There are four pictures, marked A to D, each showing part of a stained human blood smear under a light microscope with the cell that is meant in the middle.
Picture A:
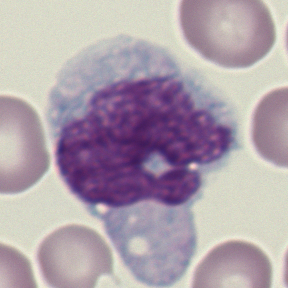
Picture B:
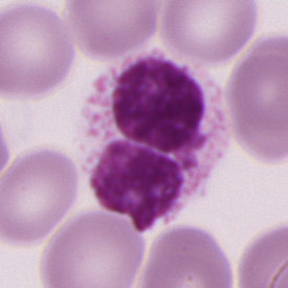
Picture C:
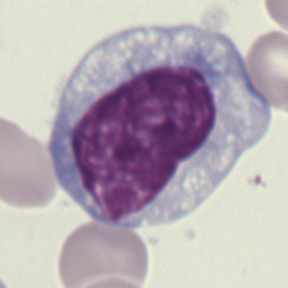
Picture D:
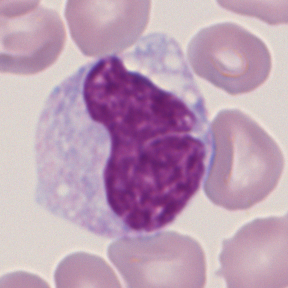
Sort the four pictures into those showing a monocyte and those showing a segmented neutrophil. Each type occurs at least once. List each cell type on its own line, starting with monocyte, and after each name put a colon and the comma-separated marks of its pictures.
monocyte: A, C, D
segmented neutrophil: B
